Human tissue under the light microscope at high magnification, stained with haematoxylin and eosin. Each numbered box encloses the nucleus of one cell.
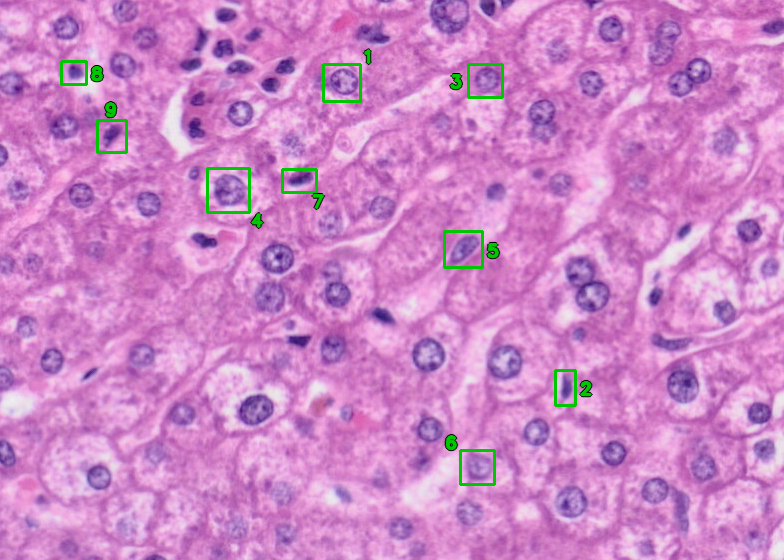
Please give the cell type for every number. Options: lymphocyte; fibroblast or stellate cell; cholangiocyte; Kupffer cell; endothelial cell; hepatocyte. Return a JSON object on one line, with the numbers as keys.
{"1": "hepatocyte", "2": "lymphocyte", "3": "hepatocyte", "4": "hepatocyte", "5": "Kupffer cell", "6": "hepatocyte", "7": "endothelial cell", "8": "lymphocyte", "9": "fibroblast or stellate cell"}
